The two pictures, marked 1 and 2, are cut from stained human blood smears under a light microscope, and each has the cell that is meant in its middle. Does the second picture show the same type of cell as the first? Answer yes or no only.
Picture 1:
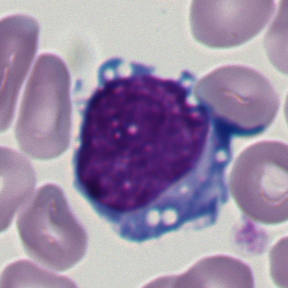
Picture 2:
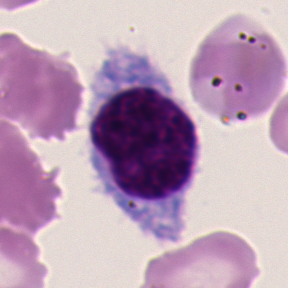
no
